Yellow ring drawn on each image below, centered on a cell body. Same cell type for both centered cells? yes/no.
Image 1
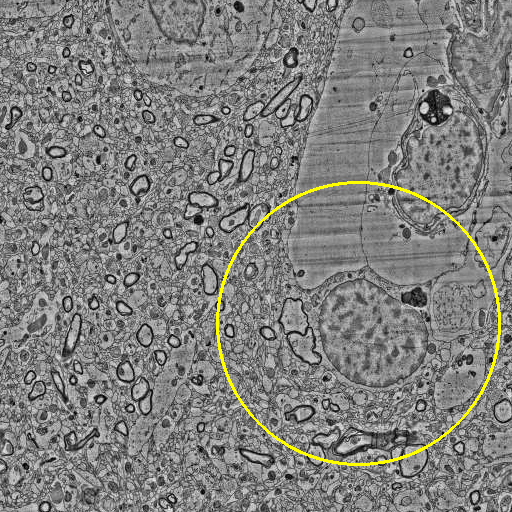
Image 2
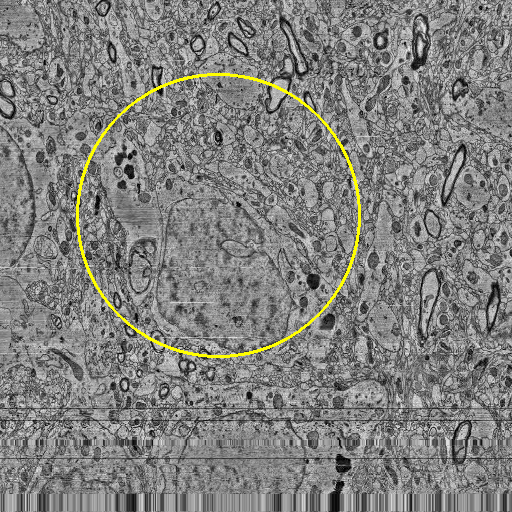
no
